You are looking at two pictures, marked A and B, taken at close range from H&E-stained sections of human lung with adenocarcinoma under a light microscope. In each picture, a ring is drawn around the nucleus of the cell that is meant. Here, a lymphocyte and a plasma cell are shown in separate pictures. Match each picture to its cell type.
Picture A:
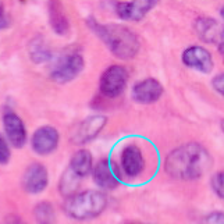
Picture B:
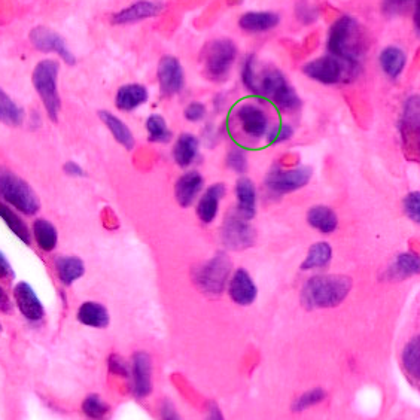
A: lymphocyte
B: plasma cell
